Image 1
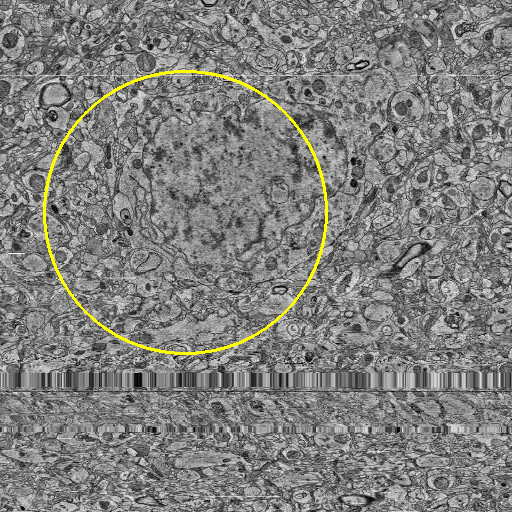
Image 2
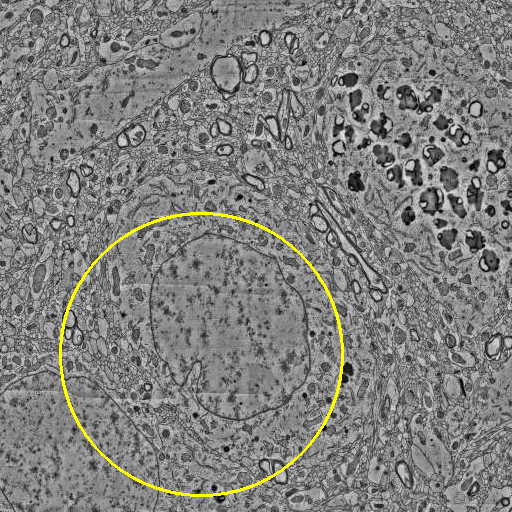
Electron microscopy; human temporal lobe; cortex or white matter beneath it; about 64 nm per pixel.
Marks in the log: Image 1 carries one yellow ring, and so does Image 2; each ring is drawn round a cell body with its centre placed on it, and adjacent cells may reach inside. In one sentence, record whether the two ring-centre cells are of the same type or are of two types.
The two cells at the ring centres, one in each image, are of two types.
